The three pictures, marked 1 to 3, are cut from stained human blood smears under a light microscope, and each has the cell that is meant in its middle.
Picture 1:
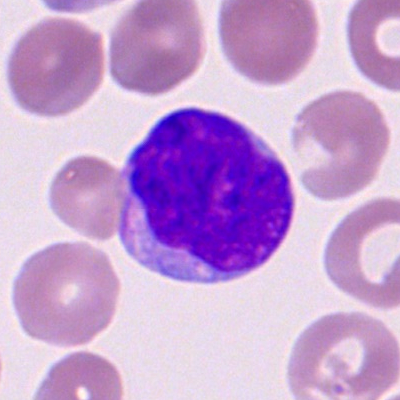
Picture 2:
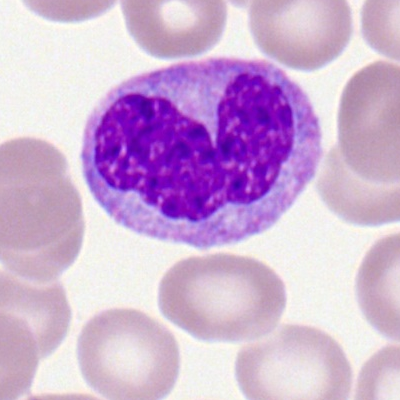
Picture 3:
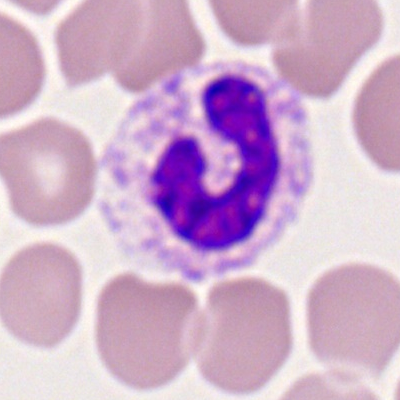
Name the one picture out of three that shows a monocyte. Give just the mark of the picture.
2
